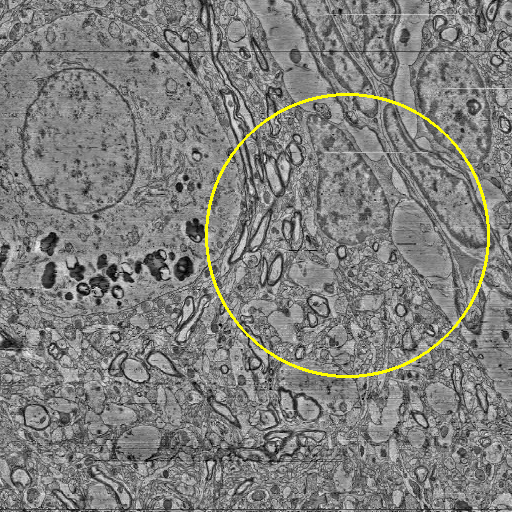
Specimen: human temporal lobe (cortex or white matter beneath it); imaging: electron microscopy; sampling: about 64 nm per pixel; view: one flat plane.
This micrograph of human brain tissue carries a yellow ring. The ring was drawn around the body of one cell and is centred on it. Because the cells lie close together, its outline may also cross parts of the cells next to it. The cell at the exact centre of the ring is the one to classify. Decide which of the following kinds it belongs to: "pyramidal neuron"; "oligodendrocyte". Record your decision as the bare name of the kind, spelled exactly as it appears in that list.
oligodendrocyte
